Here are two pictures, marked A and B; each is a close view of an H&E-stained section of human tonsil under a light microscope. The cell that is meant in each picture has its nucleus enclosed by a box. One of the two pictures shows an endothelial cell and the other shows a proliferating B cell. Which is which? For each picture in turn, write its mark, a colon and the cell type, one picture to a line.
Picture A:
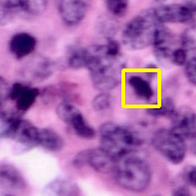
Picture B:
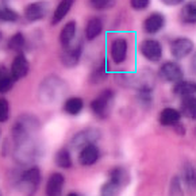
A: proliferating B cell
B: endothelial cell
